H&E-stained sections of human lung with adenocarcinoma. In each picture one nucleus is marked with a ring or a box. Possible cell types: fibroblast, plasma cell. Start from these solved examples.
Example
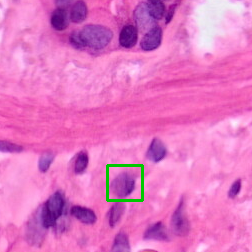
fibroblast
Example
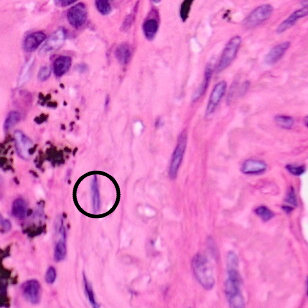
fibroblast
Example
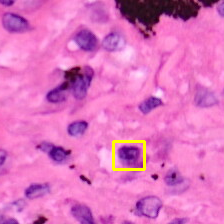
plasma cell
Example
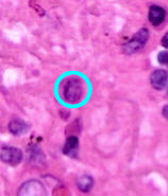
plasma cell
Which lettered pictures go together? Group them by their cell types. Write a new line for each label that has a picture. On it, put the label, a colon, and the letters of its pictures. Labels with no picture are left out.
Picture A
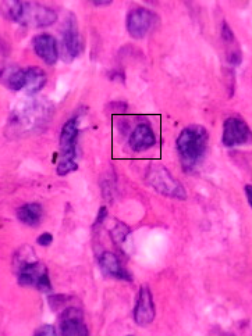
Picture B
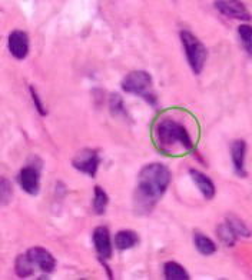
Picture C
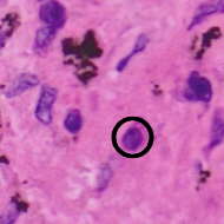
plasma cell: A, B, C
